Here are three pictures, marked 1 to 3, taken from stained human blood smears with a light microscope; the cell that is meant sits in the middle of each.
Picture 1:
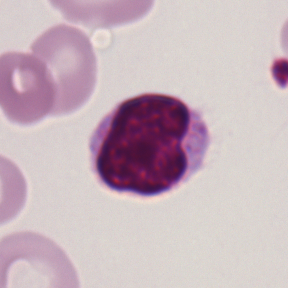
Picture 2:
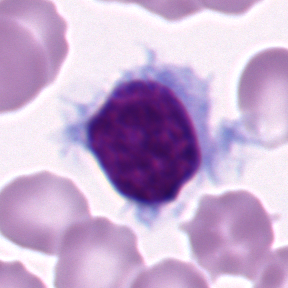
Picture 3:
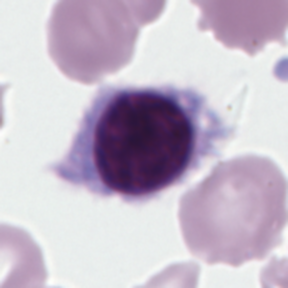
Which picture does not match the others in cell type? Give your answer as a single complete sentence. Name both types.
The different one is picture 1; it shows a typical lymphocyte, whereas all the others show hairy cells.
